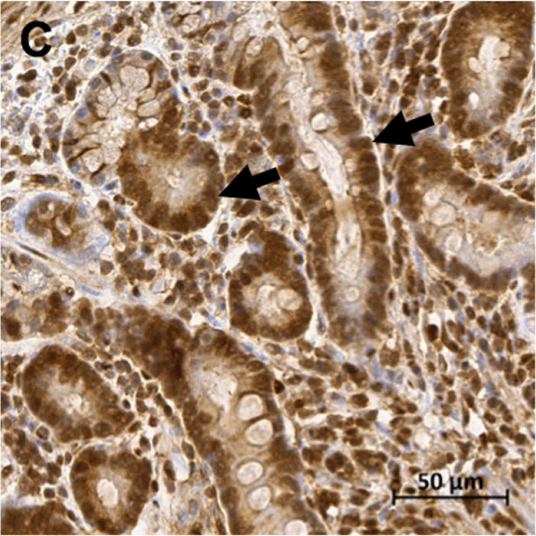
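Round and elongated glands of the intestinal mucosa are cut in section, each lined by a single layer of tall columnar epithelial cells around a small central lumen, with pale, rounded goblet cells scattered among them. The oval nuclei of the lining cells sit in a row near the base and are stained dark brown; the cytoplasm towards the lumen is a lighter brown. Between the glands lies a dense, cellular connective tissue whose many small nuclei are also mostly dark brown, with a few blue ones. These are crypts lined by enterocytes with strongly stained nuclei.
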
